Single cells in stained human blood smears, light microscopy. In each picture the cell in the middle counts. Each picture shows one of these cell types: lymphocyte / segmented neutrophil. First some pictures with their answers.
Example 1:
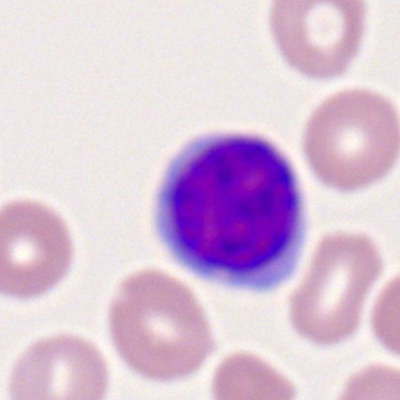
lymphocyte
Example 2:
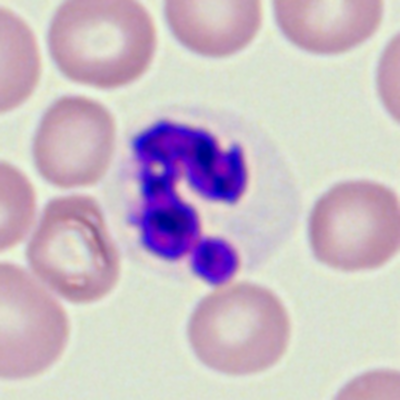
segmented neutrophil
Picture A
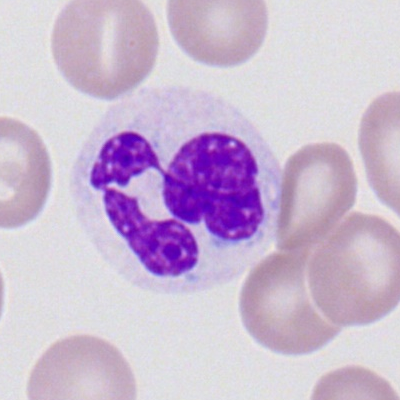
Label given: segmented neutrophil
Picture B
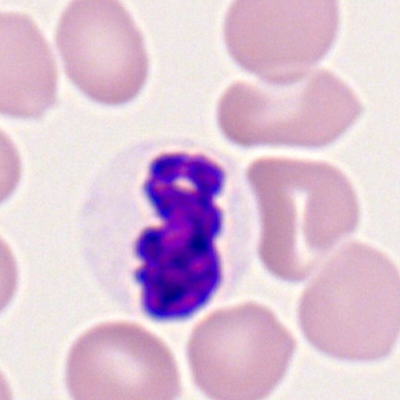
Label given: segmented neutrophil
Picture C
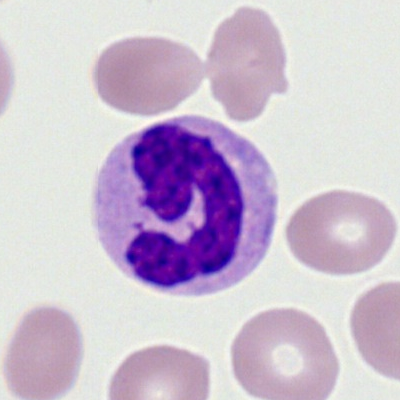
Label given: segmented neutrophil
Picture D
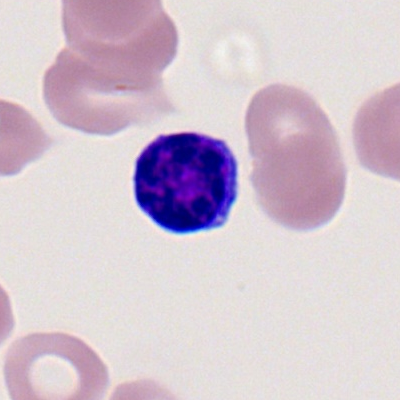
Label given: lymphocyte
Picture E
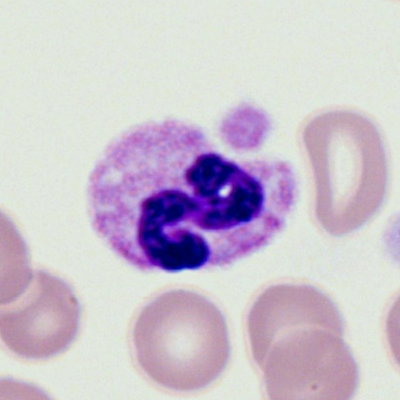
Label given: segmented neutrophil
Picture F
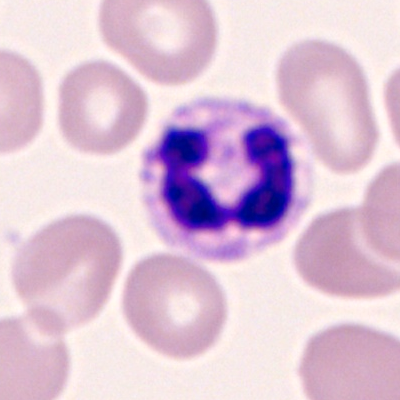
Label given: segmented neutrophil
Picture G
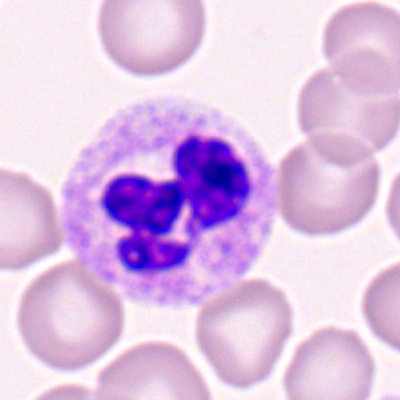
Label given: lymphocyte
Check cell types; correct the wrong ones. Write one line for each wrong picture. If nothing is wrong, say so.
G should be segmented neutrophil, not lymphocyte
